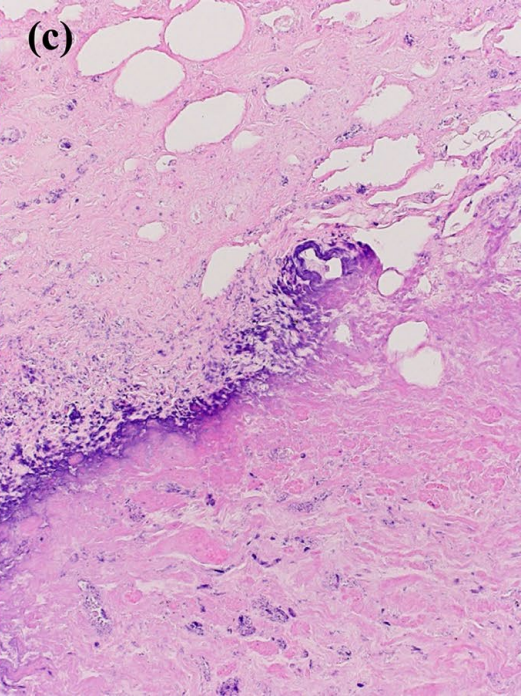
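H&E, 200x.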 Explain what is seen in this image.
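This is necrotic, scarred fatty tissue in which the outlines of former fat cells can still be recognized as large round and oval empty spaces in the upper part. The material around these spaces is pale pink and almost without nuclei, so the fat cells appear only as ghostly shapes. A coarse, granular dark purple band runs diagonally across the middle, with smaller purple clumps scattered in the tissue below, consistent with calcium deposits in dead tissue.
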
